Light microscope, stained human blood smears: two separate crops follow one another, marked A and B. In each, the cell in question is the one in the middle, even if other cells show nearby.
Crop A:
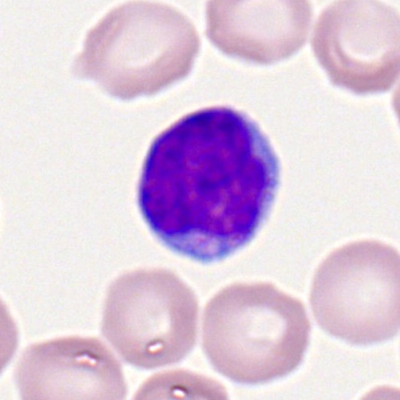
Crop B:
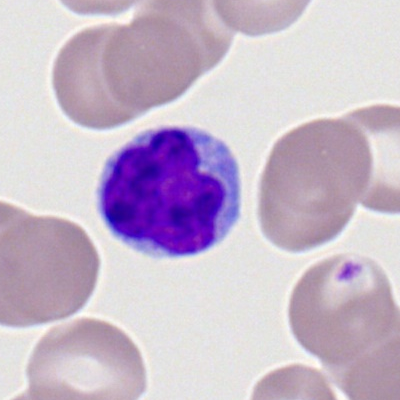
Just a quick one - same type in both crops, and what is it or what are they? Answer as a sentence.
Yes, both crops show lymphocytes in their central position.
